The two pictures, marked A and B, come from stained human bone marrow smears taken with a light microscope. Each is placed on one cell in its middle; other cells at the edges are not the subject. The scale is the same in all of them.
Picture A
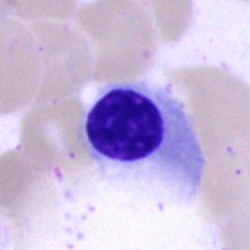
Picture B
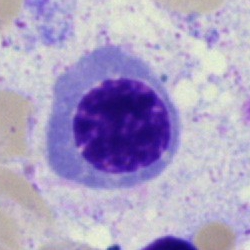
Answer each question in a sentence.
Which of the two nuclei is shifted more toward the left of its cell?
Seen within its cell, the nucleus in picture A lies further toward the left.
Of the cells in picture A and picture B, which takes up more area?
Picture B holds the larger cell; it covers about 2 times the area of the cell in picture A.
